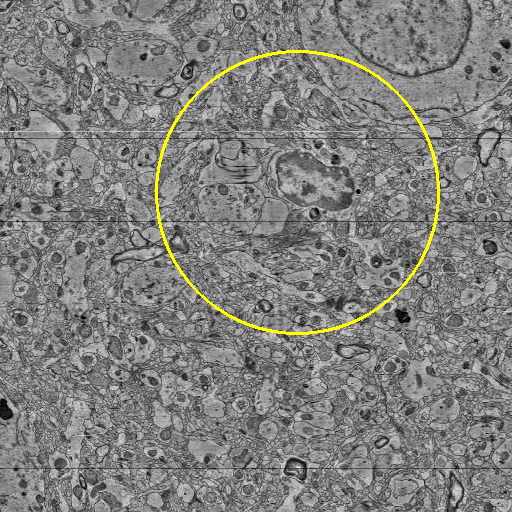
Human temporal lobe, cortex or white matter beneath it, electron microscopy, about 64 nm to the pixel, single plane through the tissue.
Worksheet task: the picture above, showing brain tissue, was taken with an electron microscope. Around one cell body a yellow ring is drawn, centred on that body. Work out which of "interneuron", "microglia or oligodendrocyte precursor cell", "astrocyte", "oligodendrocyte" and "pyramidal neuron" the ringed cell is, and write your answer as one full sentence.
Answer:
It is a microglial cell or oligodendrocyte precursor cell whose cell body lies at the centre of the yellow ring.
